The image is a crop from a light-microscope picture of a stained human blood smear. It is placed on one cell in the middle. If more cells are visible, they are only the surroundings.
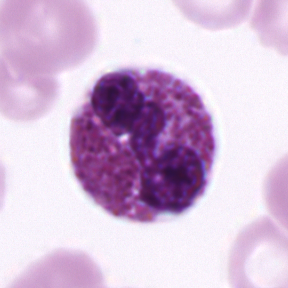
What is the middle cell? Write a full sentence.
The cell centred in this crop is categorized as an eosinophil.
